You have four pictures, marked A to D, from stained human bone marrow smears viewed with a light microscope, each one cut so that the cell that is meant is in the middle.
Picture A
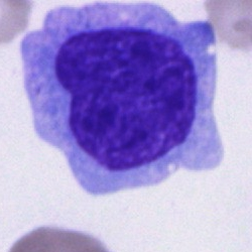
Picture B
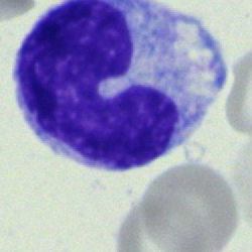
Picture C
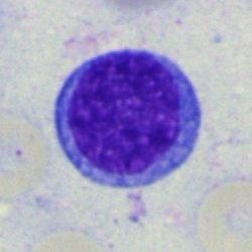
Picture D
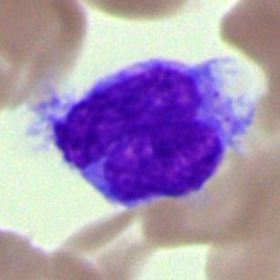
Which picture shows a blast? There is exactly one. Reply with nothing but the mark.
C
